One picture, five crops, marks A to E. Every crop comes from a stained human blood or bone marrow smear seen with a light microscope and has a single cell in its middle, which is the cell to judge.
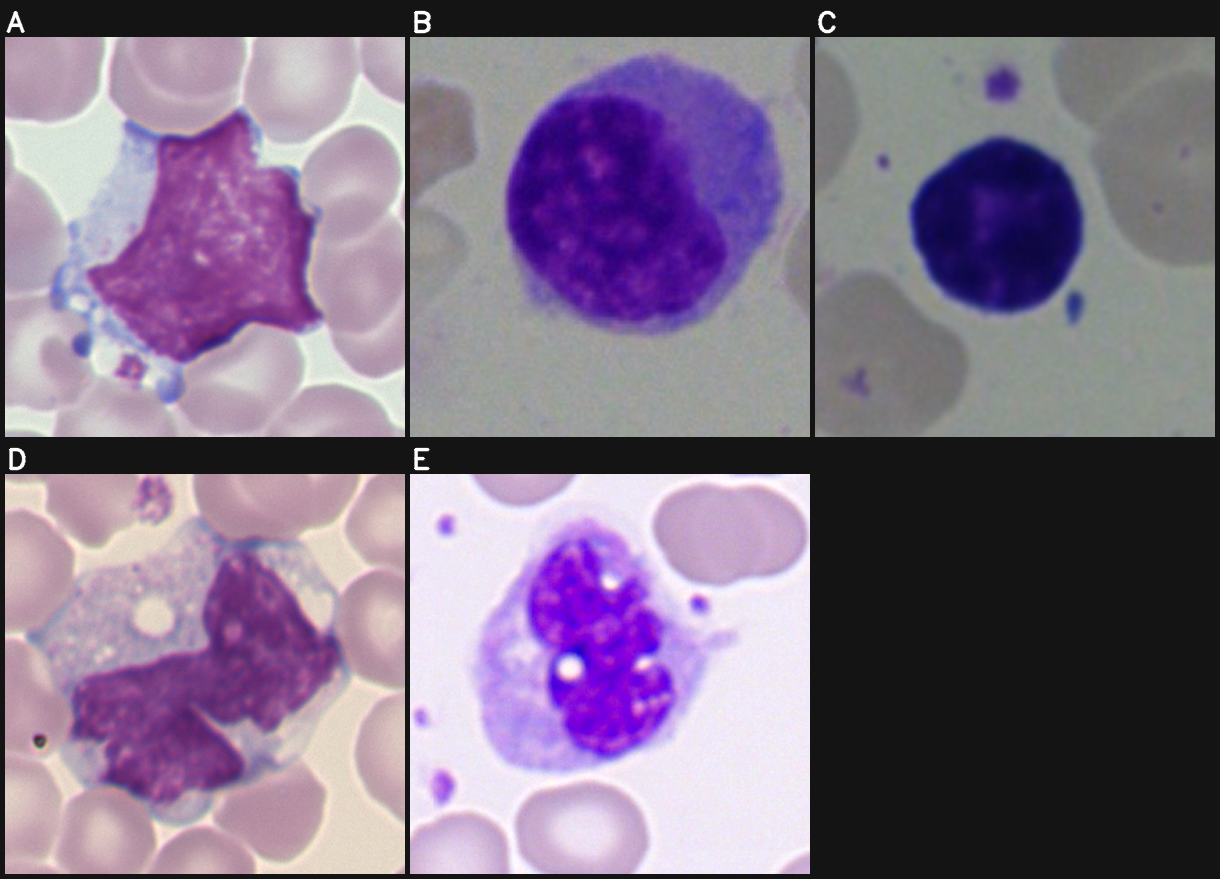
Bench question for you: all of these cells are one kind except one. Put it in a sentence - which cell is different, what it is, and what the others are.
Crop C is the sole crop with a lymphocyte; the others all have monocytes.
